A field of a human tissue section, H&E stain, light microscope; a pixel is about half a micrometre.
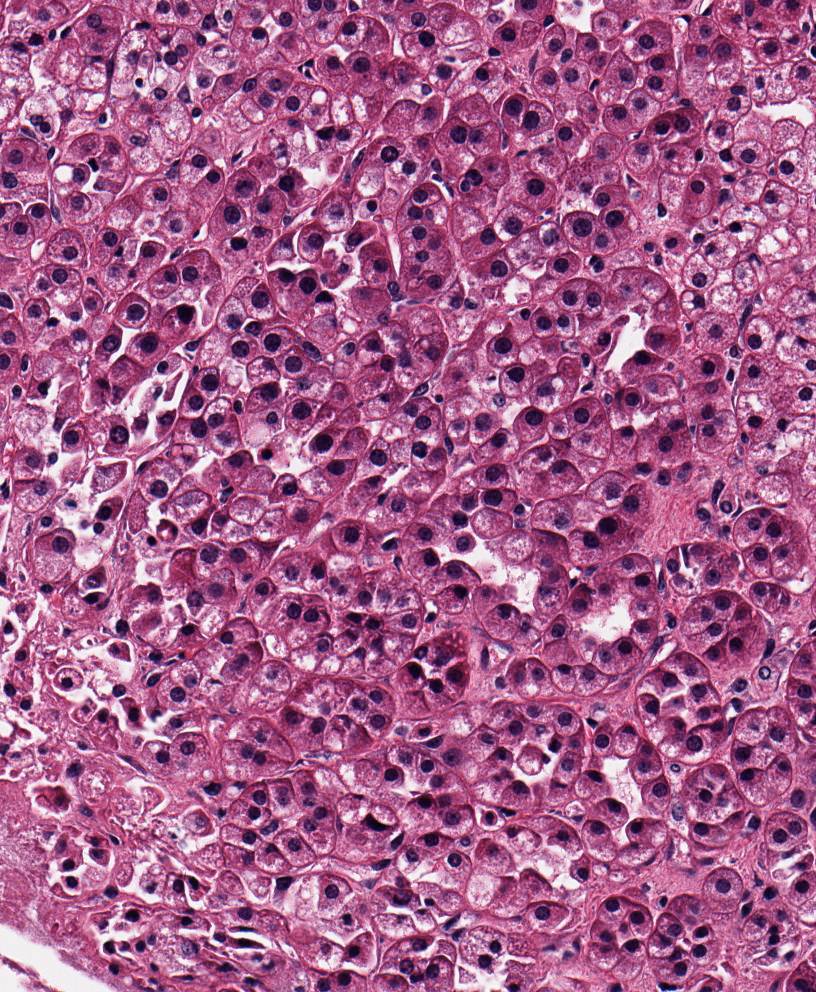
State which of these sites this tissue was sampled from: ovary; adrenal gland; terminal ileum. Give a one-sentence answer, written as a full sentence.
From the adrenal gland came the tissue in this section.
